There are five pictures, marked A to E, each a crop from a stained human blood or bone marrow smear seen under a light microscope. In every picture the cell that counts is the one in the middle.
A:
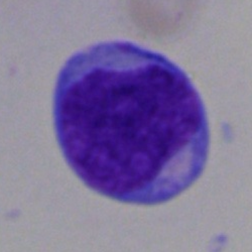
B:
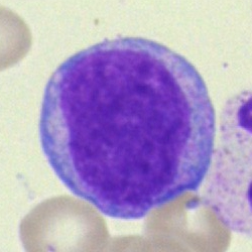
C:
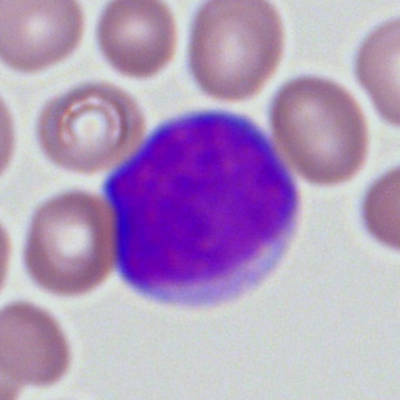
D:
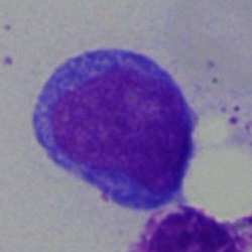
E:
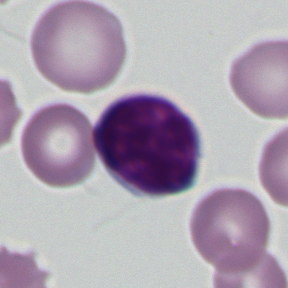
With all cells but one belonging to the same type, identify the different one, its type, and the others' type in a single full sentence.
Whereas the other crops all show blasts, crop E shows a lymphocyte.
